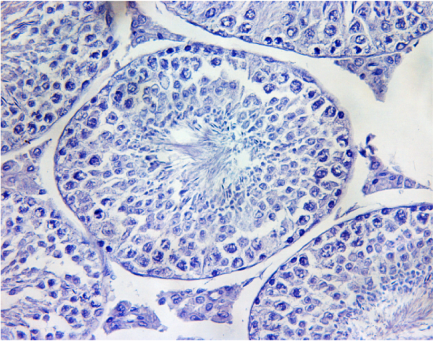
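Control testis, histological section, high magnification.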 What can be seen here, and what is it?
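Seminiferous tubule in cross-section with a thick stratified epithelium of round, dark-nucleated cells arranged in many layers from the basement membrane toward the lumen. Pale tail-like strands gather in the central lumen. Neighbouring tubules lie close together, separated by narrow pale interstitial spaces.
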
